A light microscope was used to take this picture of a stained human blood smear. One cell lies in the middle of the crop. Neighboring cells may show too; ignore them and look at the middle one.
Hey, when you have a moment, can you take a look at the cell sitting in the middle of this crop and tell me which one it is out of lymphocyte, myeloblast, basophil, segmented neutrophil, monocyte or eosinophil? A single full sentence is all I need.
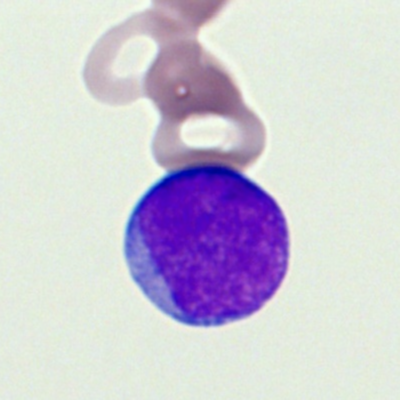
In short, the cell at the center is a myeloblast.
